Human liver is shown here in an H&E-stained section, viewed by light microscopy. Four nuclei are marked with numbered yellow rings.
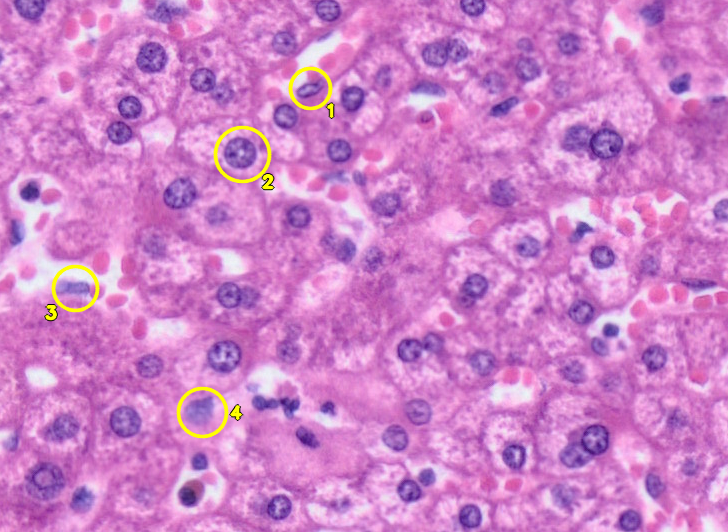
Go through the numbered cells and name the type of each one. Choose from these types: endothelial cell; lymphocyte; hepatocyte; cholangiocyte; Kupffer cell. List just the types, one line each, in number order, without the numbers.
Kupffer cell
hepatocyte
Kupffer cell
endothelial cell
